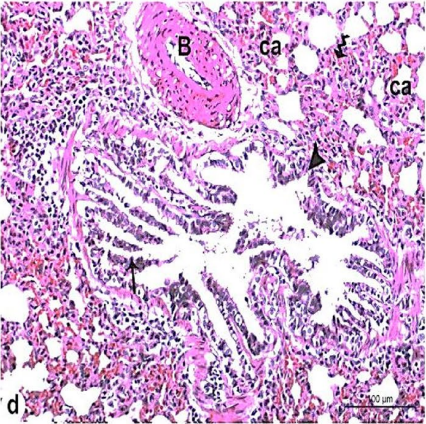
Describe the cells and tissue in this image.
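Lung tissue shows a wide, branching bronchiole whose lining epithelium is heaped into crowded folds with densely packed purple nuclei. Above it lies a blood vessel with a thick pink muscular wall.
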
